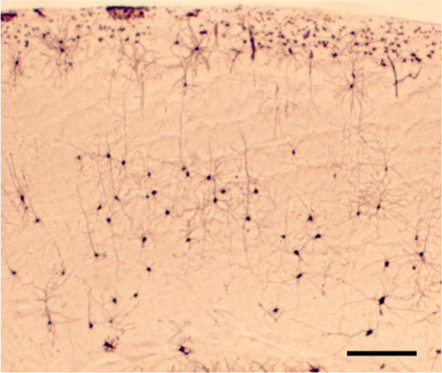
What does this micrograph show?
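A section through the cortex shows the pial surface along the top with sparse, darkly impregnated neurons scattered through the depth beneath it. The neurons are small black cell bodies with fine branching dendrites, many of which run perpendicular to the surface, against a pale unstained background.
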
